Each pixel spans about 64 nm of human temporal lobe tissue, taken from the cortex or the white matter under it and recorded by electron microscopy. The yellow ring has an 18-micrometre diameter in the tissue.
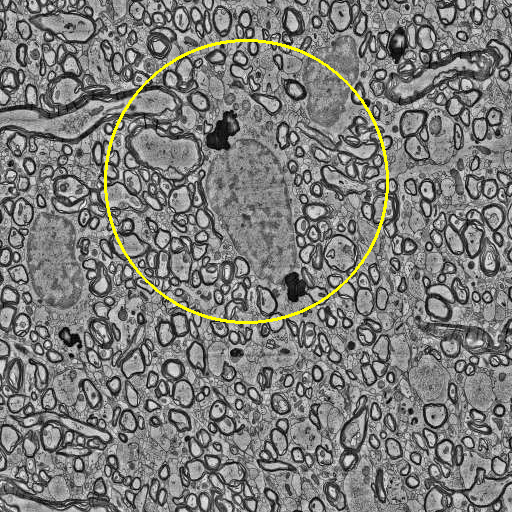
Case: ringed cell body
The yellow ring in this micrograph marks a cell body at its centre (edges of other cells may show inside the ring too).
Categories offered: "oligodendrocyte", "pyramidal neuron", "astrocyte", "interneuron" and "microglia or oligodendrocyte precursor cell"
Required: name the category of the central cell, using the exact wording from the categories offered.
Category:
oligodendrocyte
